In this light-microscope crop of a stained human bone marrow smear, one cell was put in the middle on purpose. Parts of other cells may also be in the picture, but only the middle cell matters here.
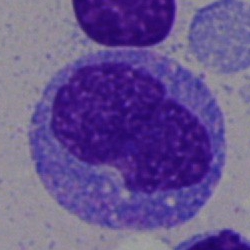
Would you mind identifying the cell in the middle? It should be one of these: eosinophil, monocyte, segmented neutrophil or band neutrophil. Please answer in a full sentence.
Where the crop is centred, there is a monocyte.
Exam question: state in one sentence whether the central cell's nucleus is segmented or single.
Between us, the nucleus here is just one compact mass, round, oval or kidney-shaped.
